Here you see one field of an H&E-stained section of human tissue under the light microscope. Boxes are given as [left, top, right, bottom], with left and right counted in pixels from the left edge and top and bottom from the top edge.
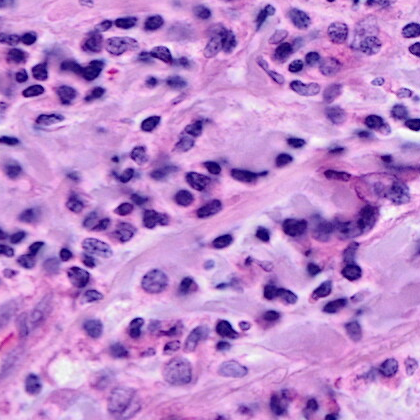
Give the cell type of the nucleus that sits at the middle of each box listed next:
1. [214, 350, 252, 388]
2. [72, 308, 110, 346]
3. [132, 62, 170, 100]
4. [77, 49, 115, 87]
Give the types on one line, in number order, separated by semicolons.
macrophage, monocyte or dendritic cell; mast cell; lymphocyte; lymphocyte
